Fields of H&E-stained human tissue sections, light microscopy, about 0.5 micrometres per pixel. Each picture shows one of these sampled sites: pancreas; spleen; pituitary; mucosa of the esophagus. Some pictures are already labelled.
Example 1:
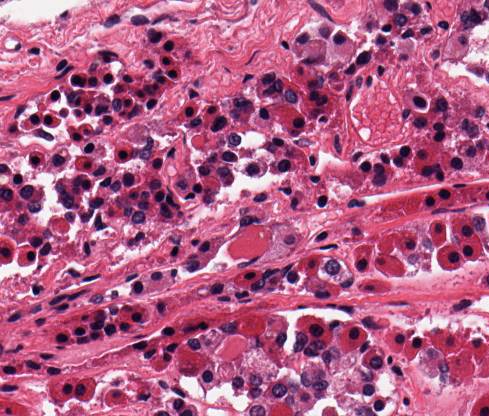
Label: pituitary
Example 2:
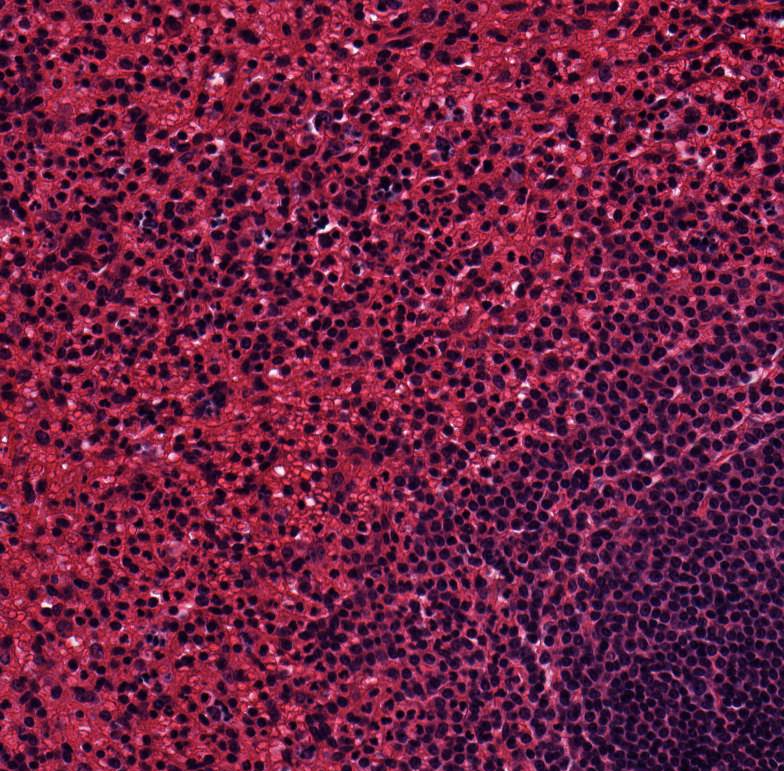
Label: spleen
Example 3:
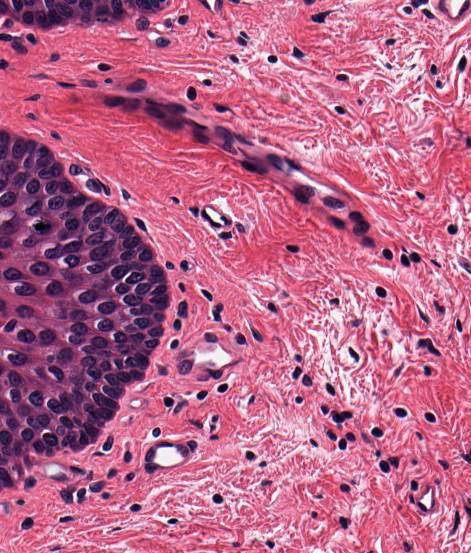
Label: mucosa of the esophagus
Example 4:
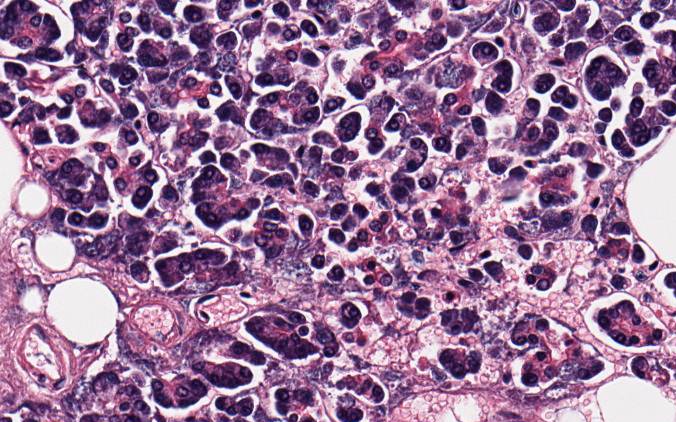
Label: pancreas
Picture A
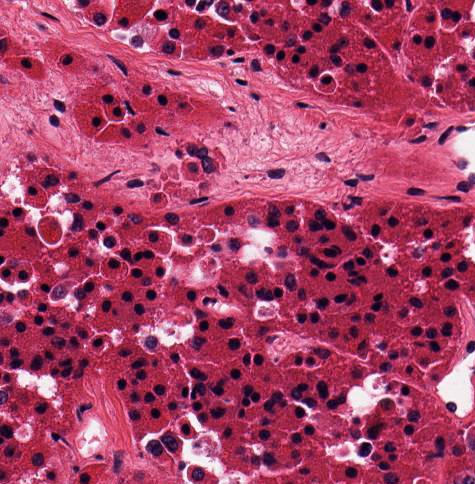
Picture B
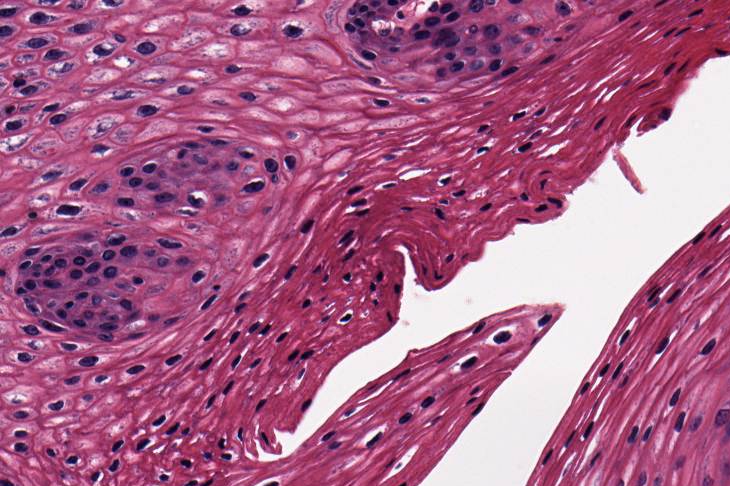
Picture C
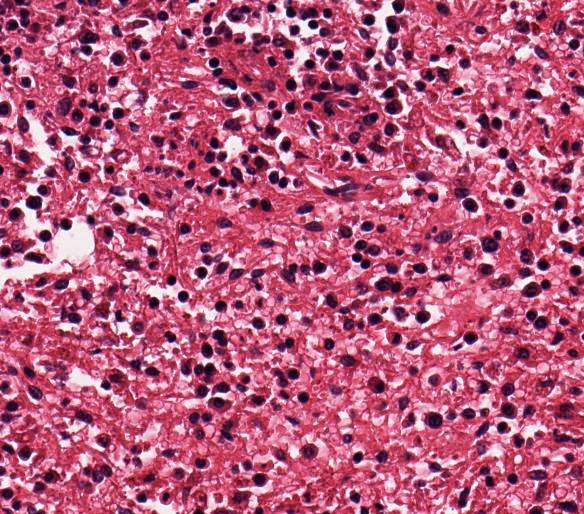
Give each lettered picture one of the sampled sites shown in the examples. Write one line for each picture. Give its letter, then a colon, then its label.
A: pituitary
B: mucosa of the esophagus
C: spleen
